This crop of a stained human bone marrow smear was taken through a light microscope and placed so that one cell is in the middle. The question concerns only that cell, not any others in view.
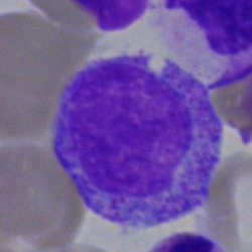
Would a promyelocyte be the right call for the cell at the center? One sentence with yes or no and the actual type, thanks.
Yes, the one cell at the centre is a promyelocyte.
